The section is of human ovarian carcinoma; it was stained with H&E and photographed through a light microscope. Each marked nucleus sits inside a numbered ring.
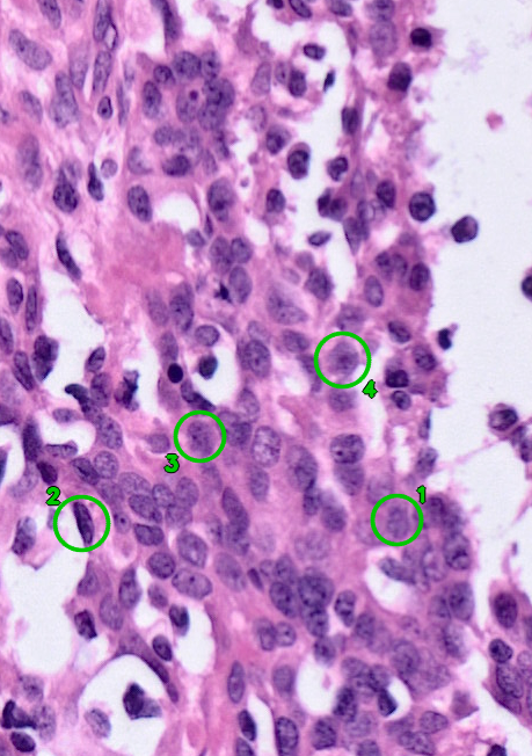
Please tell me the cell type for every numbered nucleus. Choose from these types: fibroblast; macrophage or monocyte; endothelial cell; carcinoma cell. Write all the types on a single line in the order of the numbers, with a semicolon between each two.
carcinoma cell; macrophage or monocyte; carcinoma cell; carcinoma cell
